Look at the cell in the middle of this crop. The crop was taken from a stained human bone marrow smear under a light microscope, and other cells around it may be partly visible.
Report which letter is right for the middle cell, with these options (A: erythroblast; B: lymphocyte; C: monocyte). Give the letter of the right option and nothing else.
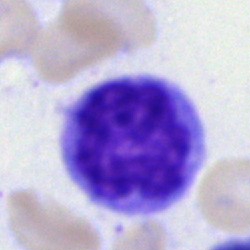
C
